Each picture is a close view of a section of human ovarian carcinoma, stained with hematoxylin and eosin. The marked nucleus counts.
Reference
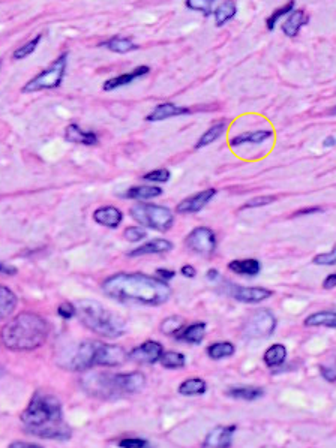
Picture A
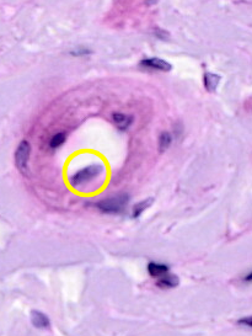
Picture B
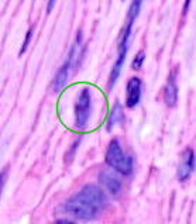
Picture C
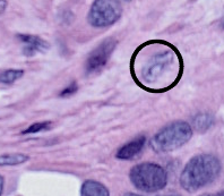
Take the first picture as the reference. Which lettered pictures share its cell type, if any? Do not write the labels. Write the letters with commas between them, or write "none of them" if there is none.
B, C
